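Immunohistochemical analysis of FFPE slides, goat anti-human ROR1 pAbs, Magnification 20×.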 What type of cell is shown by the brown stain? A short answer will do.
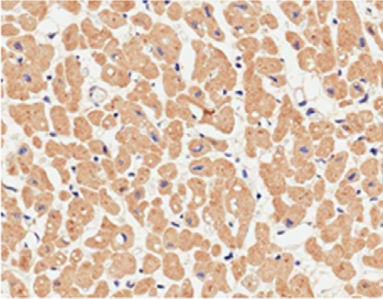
Cardiomyocytes.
